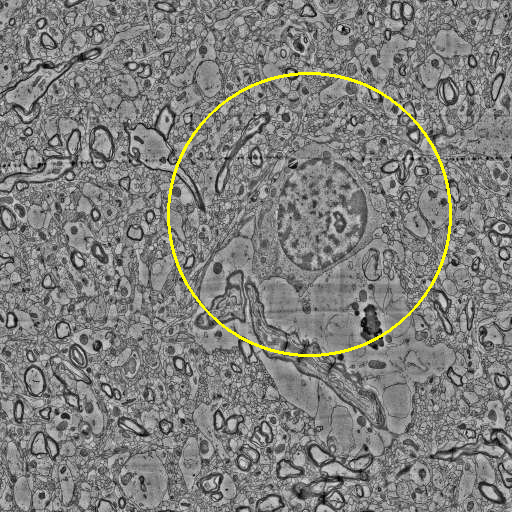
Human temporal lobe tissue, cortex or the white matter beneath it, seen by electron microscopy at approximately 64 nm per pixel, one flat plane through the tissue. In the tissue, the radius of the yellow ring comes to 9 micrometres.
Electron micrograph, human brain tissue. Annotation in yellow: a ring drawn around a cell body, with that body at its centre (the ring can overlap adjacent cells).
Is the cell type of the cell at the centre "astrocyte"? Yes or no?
No, it is of another type.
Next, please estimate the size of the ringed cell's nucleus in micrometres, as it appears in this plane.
The nucleus appears roughly 7 by 6 micrometres in this plane.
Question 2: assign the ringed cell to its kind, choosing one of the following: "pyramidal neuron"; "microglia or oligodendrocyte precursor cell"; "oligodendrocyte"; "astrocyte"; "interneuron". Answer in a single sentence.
Instead, the cell at the centre of the ring is an oligodendrocyte.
